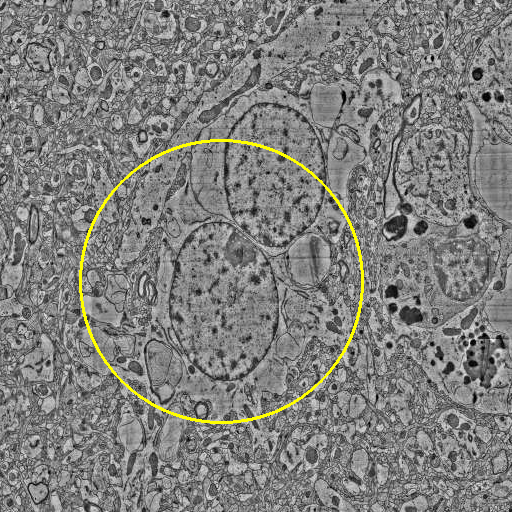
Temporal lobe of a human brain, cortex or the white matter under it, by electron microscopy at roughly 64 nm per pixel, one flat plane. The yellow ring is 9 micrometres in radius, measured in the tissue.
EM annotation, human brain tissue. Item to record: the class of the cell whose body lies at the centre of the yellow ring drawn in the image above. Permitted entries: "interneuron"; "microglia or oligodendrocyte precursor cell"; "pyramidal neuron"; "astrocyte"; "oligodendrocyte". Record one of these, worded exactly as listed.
astrocyte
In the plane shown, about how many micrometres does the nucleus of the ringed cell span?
In this plane, the nucleus is roughly 10 by 7 micrometres.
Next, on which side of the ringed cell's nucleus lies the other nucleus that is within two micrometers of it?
The other nucleus lies above it in the picture.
